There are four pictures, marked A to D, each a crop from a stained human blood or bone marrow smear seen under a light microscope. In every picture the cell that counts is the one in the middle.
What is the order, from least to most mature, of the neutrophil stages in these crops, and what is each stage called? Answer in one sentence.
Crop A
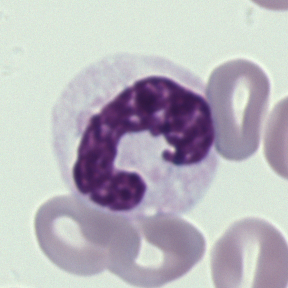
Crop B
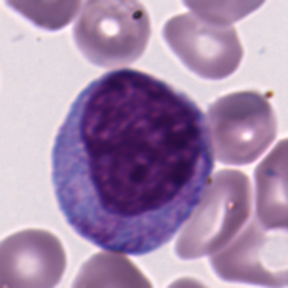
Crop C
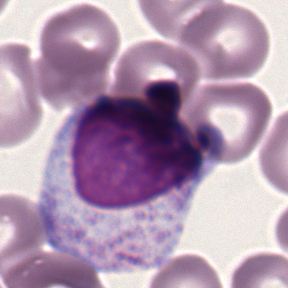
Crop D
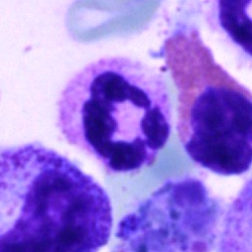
The ordering by maturity, from earliest to most mature, is crop B (a promyelocyte), crop C (a myelocyte), crop A (a band neutrophil) and crop D (a segmented neutrophil).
